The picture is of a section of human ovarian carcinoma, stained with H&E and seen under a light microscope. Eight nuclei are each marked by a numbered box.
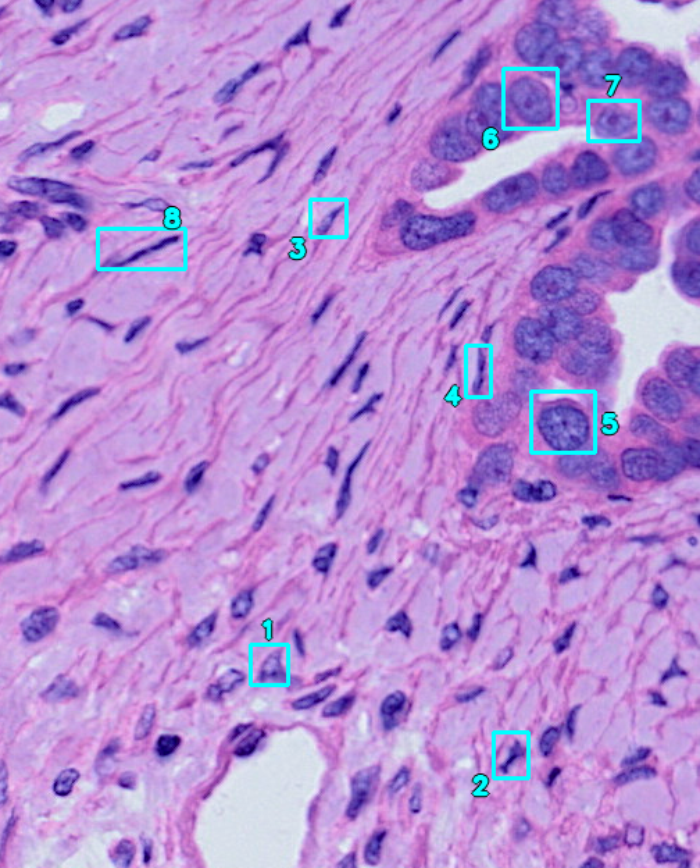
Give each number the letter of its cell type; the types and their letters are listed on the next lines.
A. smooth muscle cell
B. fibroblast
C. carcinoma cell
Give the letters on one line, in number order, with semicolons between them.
B; B; B; B; C; C; C; B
